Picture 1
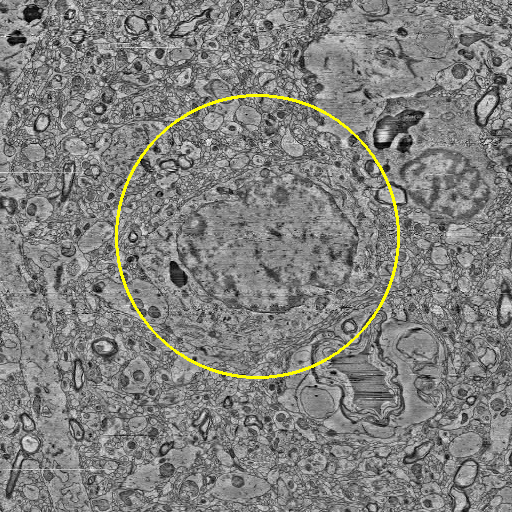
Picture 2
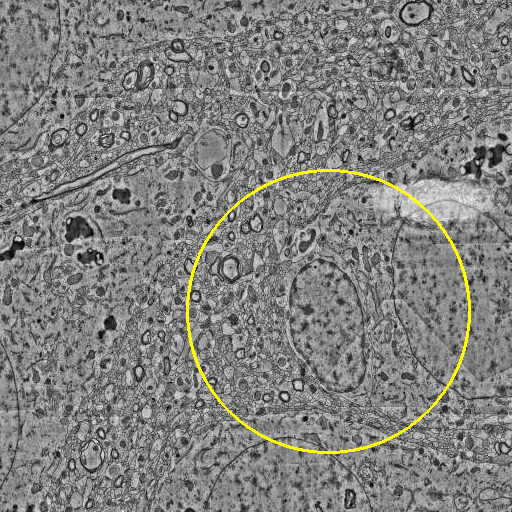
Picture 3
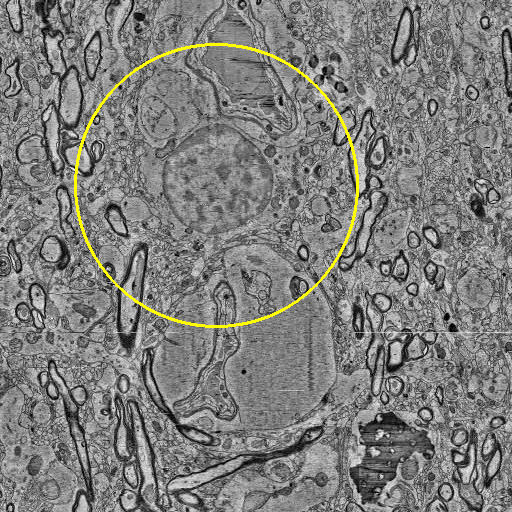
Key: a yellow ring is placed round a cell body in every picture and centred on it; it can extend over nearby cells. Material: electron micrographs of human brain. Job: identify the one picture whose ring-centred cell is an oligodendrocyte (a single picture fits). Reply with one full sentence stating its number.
Picture 3 is the one with the sought cell at the centre of its ring.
